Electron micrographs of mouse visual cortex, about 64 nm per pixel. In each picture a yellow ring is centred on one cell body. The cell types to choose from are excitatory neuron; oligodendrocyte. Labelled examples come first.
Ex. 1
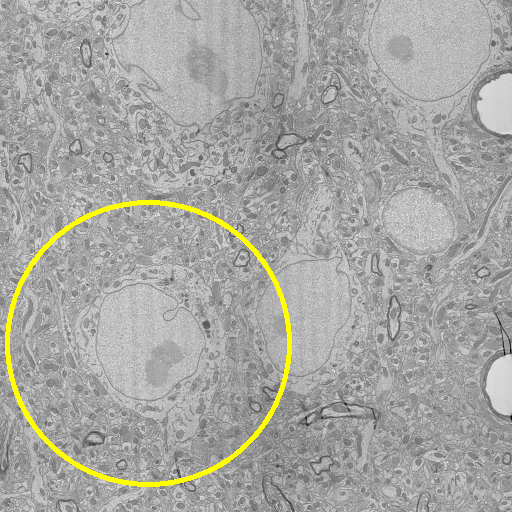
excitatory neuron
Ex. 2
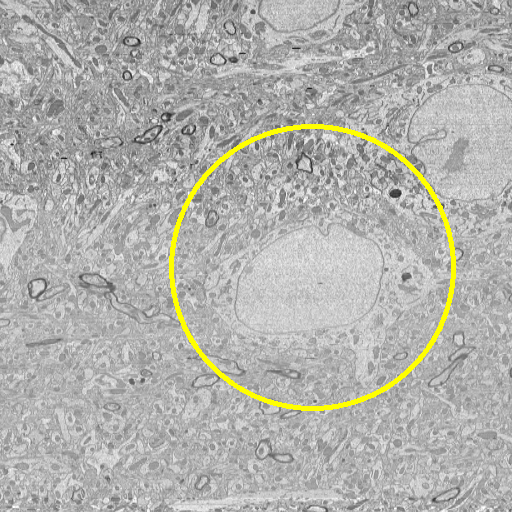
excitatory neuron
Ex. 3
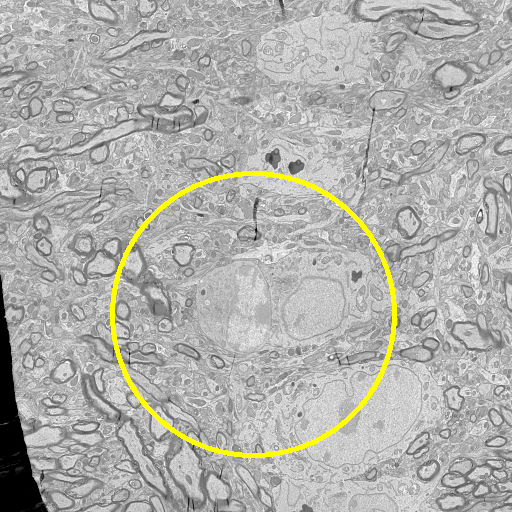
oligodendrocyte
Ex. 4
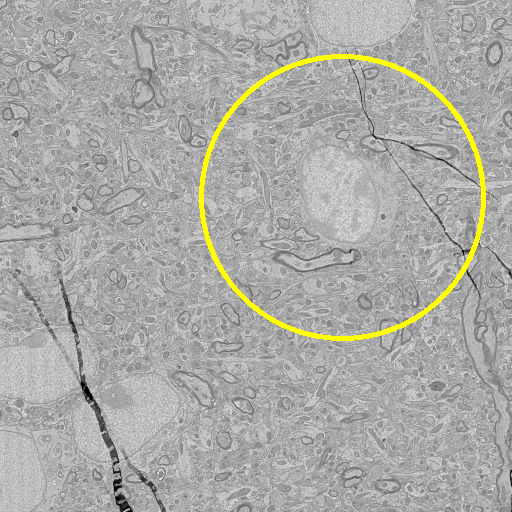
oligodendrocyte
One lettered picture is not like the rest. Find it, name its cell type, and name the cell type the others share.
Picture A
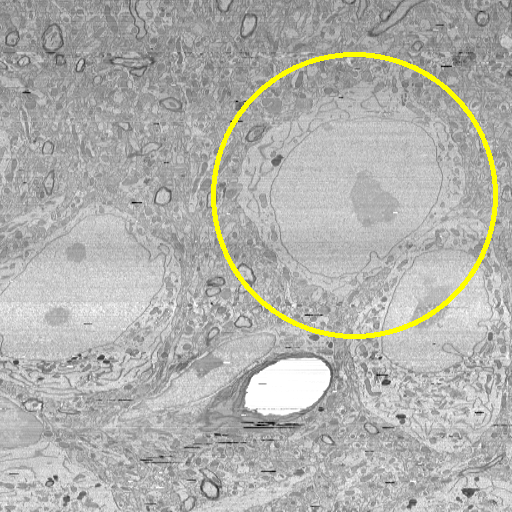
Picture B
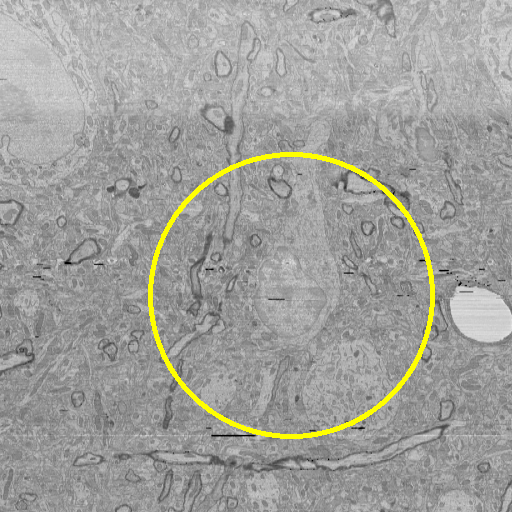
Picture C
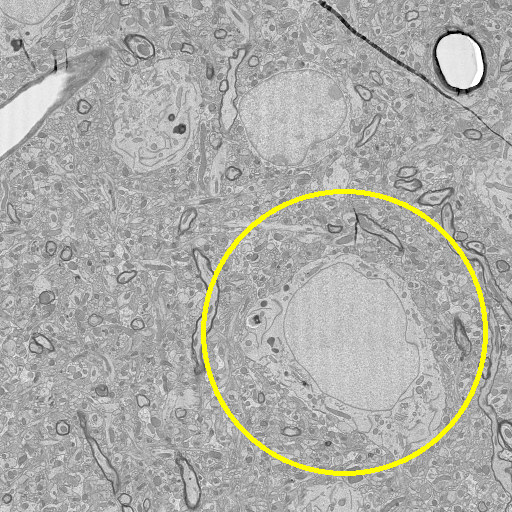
Different: B, oligodendrocyte. Others: excitatory neuron.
